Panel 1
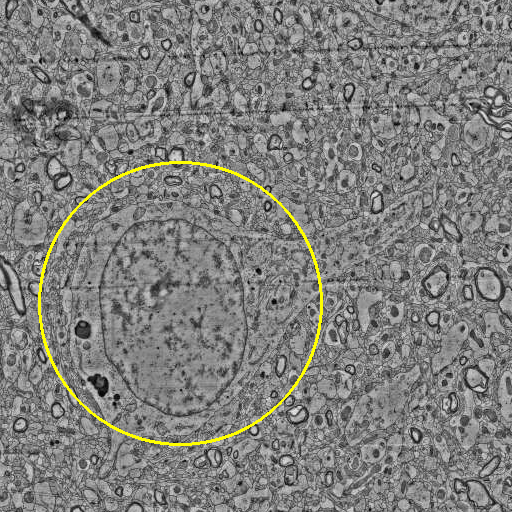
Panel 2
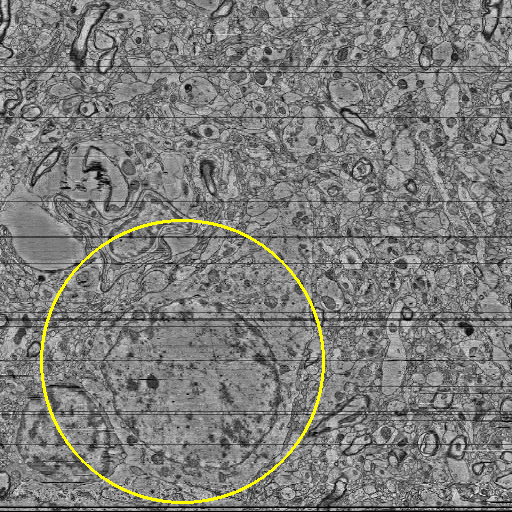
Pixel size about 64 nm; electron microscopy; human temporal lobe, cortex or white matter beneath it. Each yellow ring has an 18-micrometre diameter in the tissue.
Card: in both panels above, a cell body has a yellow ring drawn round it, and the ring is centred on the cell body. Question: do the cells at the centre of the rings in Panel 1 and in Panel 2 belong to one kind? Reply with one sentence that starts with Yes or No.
No, the cells centred in the rings of Panel 1 and Panel 2 are two kinds of cell.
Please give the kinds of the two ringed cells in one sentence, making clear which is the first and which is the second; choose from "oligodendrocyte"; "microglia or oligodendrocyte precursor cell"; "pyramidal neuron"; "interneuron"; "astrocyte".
In the second picture the ringed cell is an interneuron; in the first it is a pyramidal neuron.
